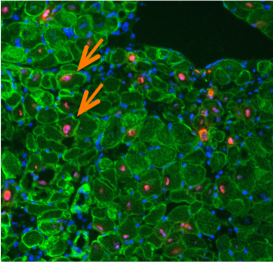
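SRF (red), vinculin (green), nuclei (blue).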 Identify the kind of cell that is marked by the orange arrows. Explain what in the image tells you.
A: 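Cardiomyocytes. The arrows point at red nuclei inside large rounded cells outlined by green borders. The cells are packed side by side as cross-sectioned fibres.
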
